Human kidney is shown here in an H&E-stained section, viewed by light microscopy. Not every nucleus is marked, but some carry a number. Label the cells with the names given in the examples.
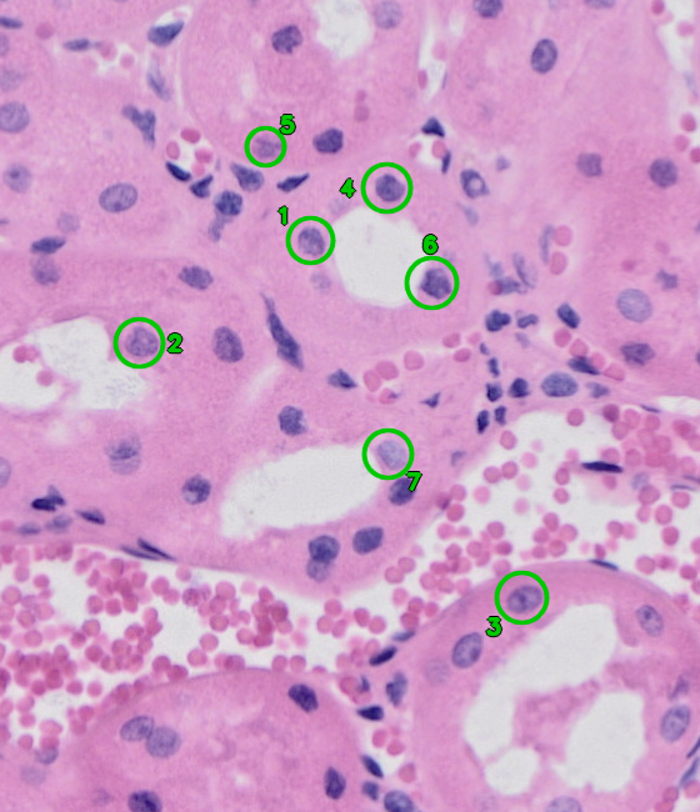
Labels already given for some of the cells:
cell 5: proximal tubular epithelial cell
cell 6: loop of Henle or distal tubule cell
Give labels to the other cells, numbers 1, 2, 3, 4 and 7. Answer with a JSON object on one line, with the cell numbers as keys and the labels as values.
{"1": "loop of Henle or distal tubule cell", "2": "proximal tubular epithelial cell", "3": "proximal tubular epithelial cell", "4": "loop of Henle or distal tubule cell", "7": "loop of Henle or distal tubule cell"}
